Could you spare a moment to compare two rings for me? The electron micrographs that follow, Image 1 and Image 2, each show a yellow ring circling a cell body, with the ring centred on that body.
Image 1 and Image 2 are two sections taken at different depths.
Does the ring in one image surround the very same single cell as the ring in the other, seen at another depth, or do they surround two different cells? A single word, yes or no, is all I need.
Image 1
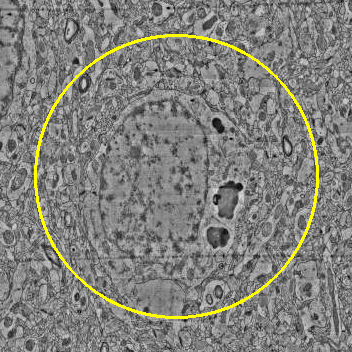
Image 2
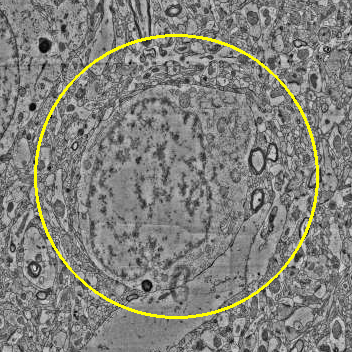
no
